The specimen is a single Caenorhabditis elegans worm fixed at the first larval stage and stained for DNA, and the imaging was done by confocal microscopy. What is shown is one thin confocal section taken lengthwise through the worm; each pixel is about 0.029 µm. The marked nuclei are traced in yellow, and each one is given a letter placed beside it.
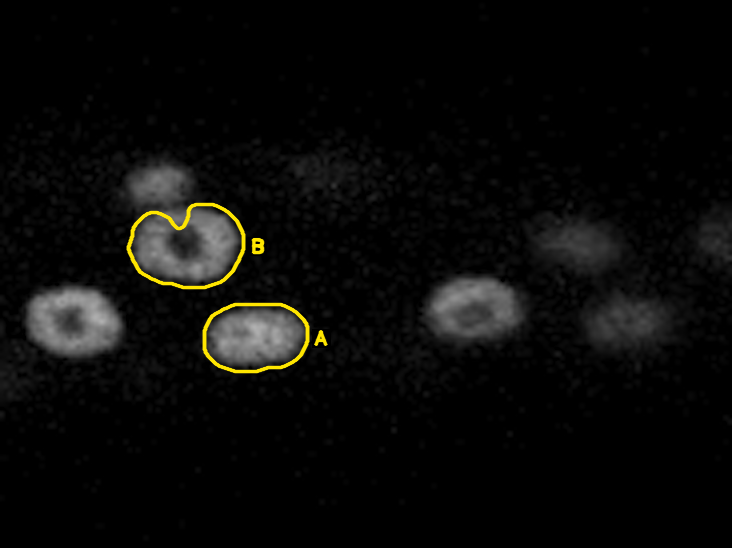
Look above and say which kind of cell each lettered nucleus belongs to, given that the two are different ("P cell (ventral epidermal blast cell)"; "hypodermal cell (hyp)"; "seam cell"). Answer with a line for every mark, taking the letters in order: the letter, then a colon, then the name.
A: P cell (ventral epidermal blast cell)
B: hypodermal cell (hyp)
